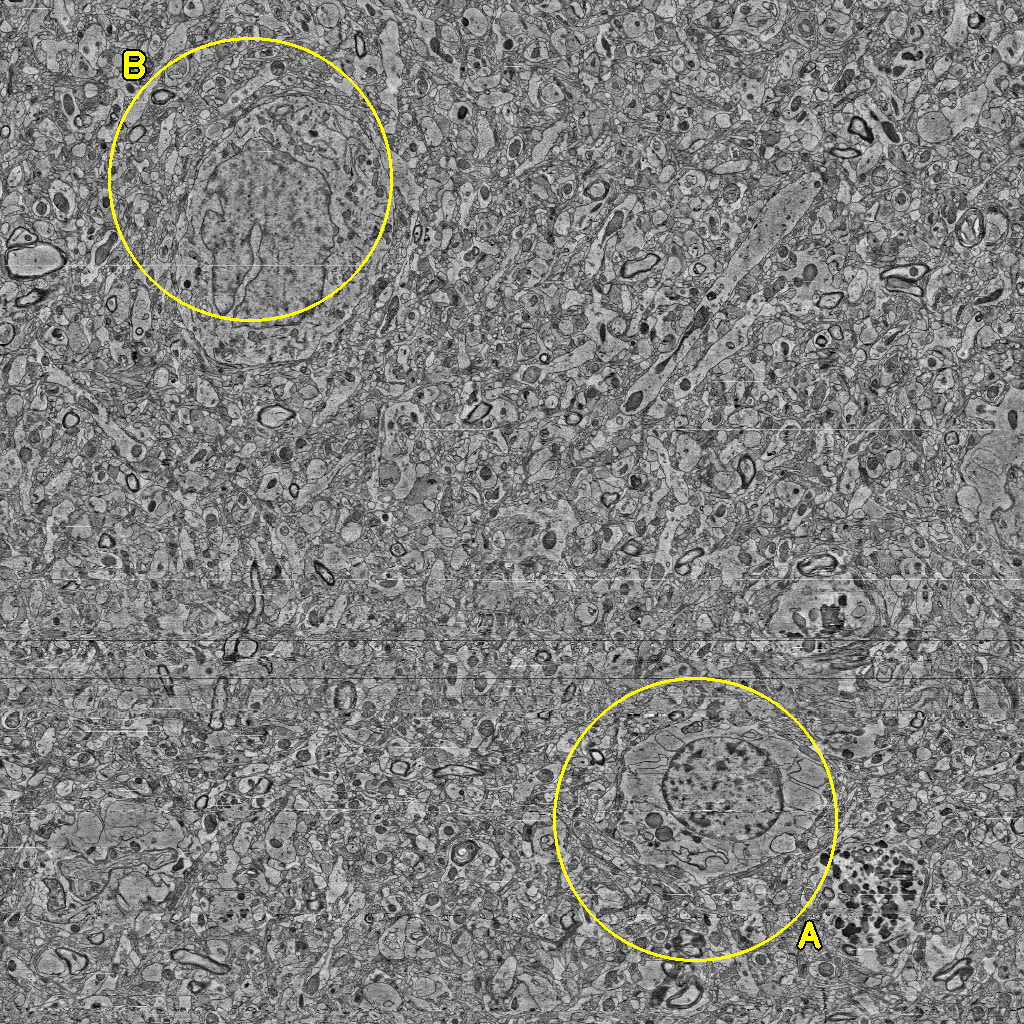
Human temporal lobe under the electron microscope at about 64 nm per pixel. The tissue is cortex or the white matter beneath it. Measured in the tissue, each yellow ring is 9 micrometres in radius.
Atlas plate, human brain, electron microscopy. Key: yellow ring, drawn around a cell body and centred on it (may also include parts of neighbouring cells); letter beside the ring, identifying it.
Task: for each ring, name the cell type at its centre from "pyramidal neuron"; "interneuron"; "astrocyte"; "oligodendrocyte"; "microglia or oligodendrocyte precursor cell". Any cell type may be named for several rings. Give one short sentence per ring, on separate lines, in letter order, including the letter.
Ring A is centred over an astrocyte.
Ring B is centred over an interneuron.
